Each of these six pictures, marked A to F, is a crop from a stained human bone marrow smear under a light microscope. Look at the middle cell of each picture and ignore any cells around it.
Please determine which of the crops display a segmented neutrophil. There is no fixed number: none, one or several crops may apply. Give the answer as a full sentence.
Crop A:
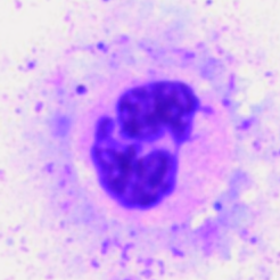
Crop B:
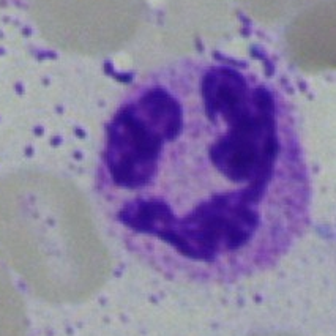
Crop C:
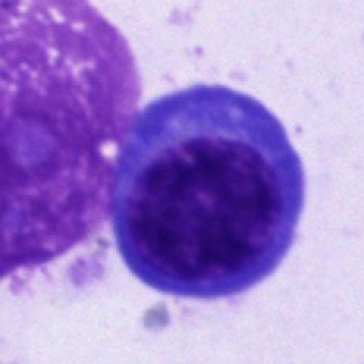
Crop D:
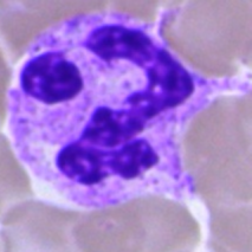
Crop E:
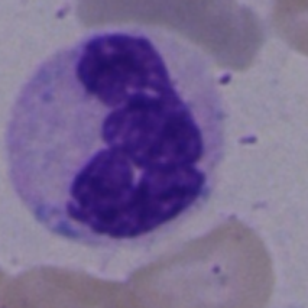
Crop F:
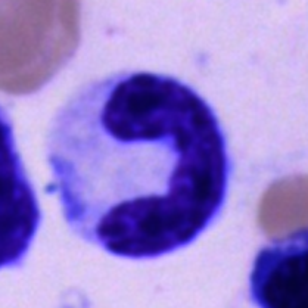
The centred cells of crops A, B, D and E are segmented neutrophils.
